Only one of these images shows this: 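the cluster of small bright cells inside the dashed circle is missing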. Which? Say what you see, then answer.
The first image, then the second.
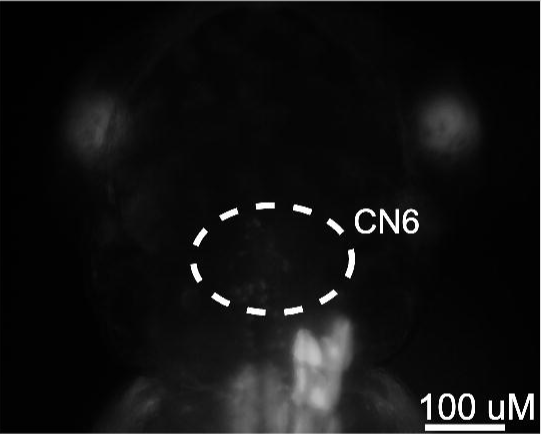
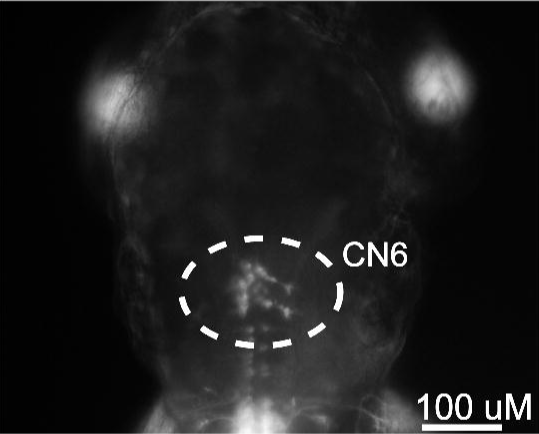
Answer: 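Second image: the dashed circle encloses a cluster of small bright fluorescent dots on both sides of the midline.
Conclusion: the first image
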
